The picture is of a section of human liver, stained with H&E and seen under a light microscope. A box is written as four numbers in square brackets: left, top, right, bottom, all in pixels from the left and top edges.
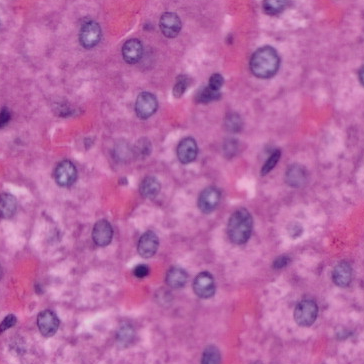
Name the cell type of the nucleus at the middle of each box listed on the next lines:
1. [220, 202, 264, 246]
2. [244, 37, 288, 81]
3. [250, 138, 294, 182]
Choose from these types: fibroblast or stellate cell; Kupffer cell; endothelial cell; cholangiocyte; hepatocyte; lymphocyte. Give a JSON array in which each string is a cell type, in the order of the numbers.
["hepatocyte", "hepatocyte", "fibroblast or stellate cell"]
